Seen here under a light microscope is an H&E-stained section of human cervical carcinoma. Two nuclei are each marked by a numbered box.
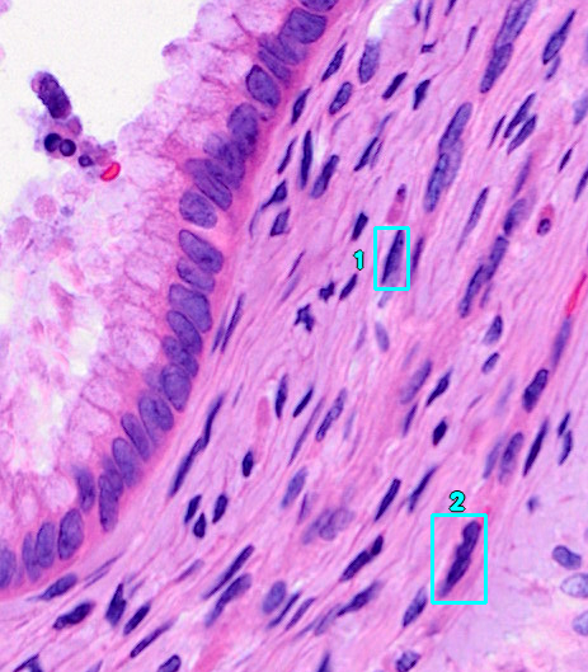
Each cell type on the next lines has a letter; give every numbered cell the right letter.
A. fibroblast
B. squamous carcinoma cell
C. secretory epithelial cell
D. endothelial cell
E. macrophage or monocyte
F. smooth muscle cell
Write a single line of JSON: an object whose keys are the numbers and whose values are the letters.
{"1": "A", "2": "D"}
